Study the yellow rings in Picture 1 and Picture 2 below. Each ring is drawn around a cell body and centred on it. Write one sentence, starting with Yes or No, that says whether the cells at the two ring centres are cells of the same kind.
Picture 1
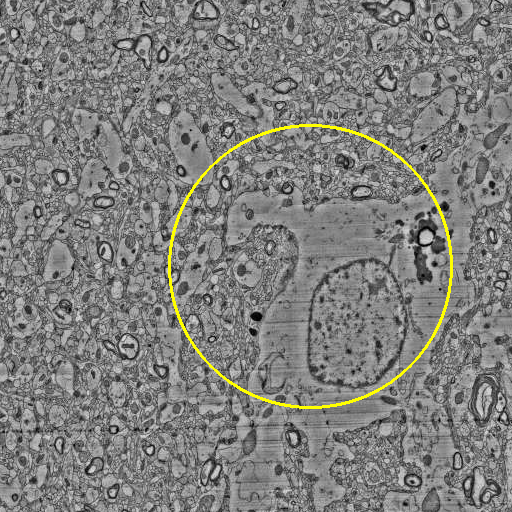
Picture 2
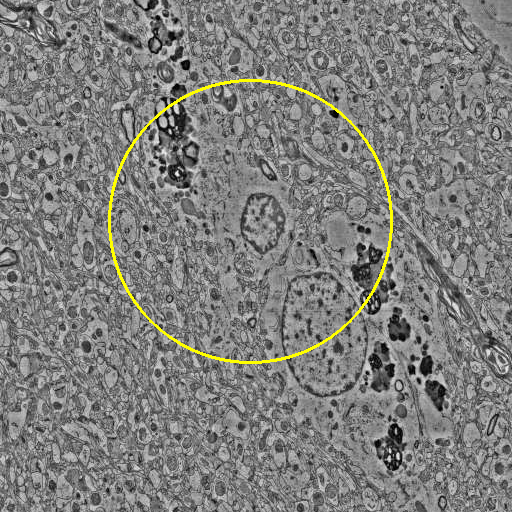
No, the cells at the ring centres are of two kinds.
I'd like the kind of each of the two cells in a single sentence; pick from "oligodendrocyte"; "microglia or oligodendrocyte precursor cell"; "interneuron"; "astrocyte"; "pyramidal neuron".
The first ring marks a microglial cell or oligodendrocyte precursor cell, and the second ring marks an astrocyte.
